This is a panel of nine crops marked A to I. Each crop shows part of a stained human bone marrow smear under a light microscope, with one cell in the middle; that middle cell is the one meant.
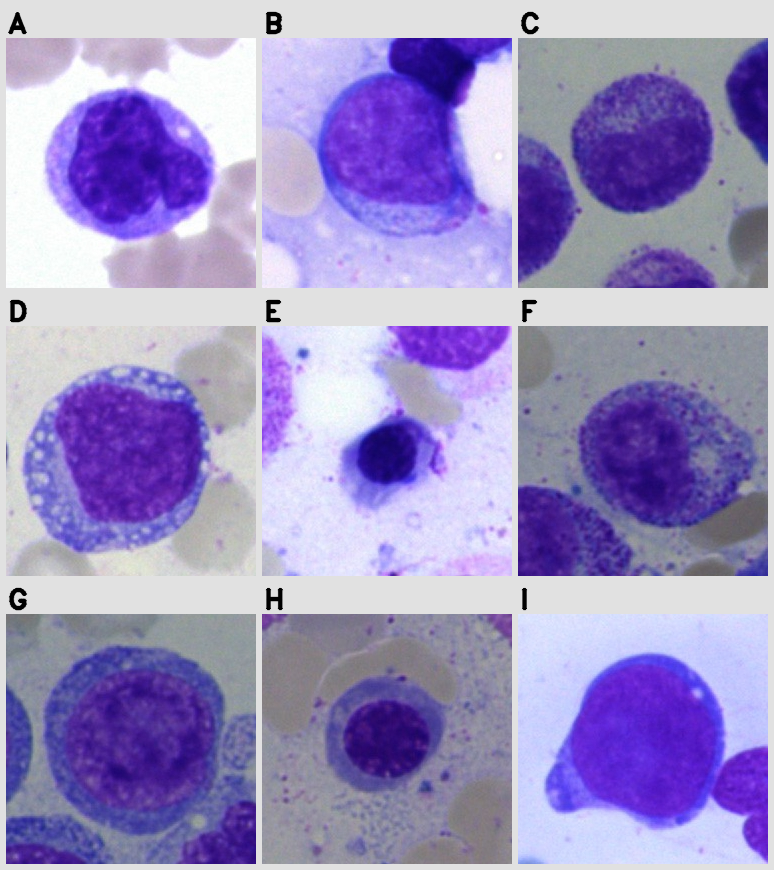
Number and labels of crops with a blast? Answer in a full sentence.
Altogether four crops hold blasts, these being B, D, G and I.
